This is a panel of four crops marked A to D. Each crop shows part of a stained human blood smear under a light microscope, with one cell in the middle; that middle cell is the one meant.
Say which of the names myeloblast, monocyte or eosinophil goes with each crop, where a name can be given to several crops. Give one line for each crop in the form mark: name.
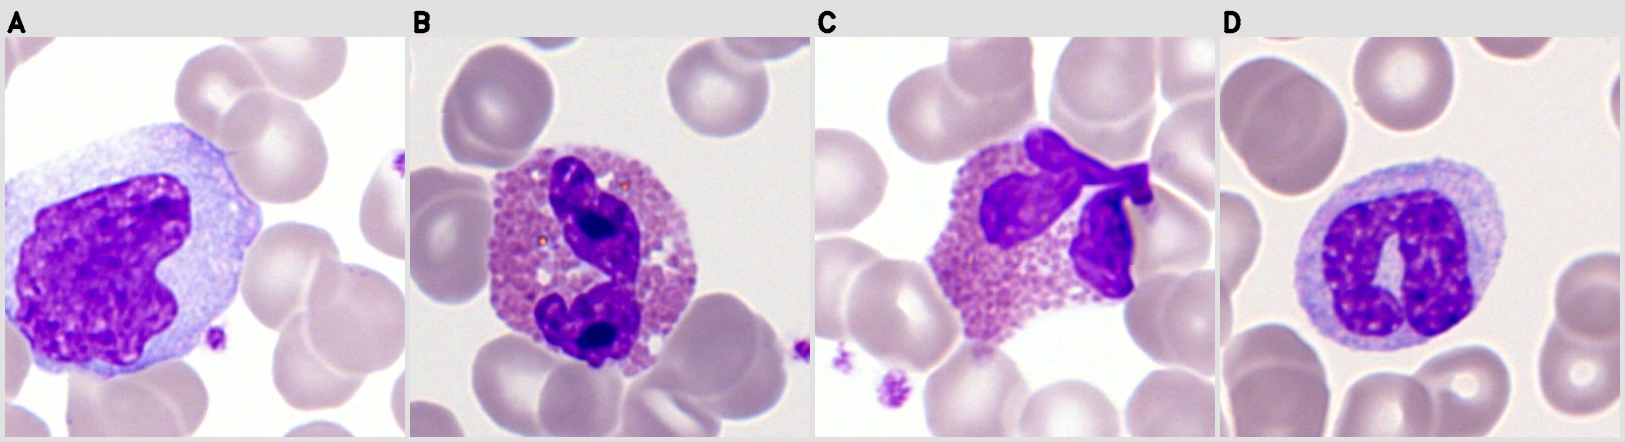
A: monocyte
B: eosinophil
C: eosinophil
D: monocyte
